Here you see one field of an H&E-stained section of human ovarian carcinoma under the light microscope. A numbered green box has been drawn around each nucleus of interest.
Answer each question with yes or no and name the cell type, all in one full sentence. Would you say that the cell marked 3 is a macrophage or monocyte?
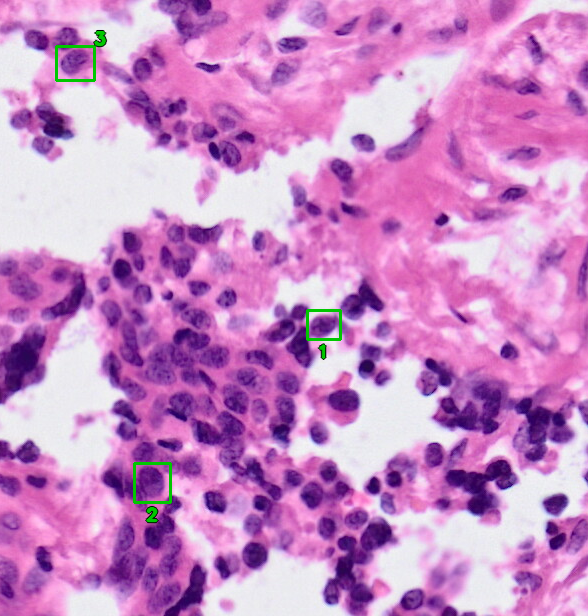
Yes, the nucleus numbered 3 belongs to a macrophage or monocyte.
